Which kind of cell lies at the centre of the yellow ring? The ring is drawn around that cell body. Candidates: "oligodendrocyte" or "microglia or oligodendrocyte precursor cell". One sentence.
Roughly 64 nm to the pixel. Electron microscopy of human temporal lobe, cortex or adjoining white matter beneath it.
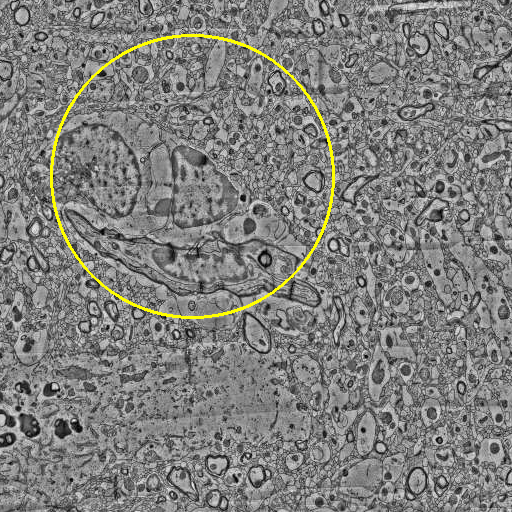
Lying at the centre of the ring is a microglial cell or oligodendrocyte precursor cell.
